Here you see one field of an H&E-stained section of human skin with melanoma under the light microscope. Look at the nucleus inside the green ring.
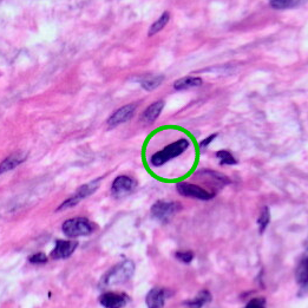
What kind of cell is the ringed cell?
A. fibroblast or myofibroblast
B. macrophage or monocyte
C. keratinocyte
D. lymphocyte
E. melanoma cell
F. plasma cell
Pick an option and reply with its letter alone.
D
